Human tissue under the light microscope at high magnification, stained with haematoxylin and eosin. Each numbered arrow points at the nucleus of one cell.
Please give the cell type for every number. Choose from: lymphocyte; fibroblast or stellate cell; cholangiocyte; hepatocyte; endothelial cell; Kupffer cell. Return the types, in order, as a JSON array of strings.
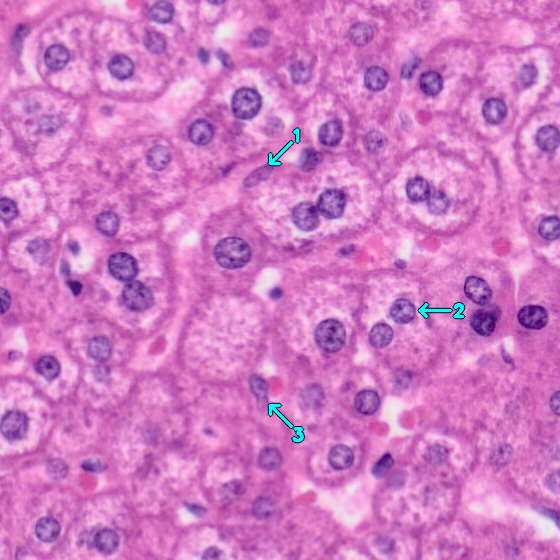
["Kupffer cell", "hepatocyte", "Kupffer cell"]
